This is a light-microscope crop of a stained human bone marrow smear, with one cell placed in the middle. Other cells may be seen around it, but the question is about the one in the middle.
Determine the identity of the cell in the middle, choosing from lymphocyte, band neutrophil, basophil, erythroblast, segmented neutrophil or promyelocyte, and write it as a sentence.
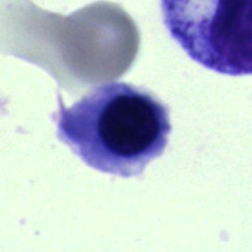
The cell at the middle of the crop is recognized as an erythroblast.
